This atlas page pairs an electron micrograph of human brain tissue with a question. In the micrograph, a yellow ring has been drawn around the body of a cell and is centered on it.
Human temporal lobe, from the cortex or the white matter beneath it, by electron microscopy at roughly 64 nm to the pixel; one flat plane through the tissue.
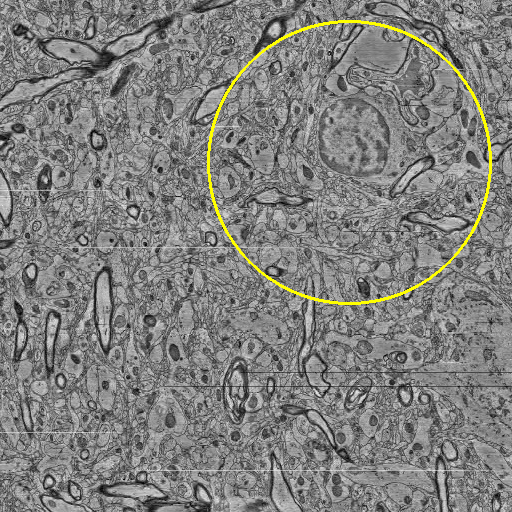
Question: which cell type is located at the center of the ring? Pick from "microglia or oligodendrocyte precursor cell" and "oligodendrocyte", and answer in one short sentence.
Located at the center of the ring is an oligodendrocyte.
